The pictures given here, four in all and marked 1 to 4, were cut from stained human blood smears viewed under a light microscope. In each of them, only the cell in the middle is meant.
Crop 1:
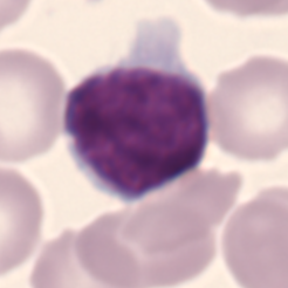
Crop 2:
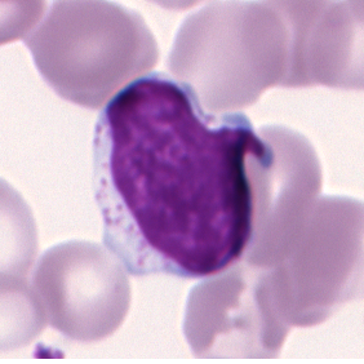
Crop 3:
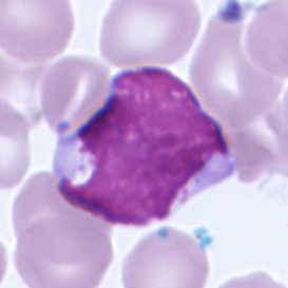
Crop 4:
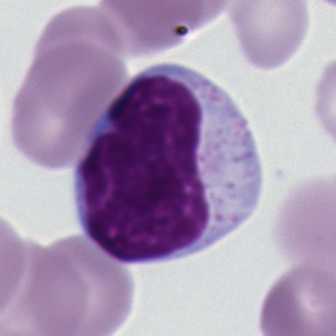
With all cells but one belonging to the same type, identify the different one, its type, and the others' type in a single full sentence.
Found in all crops but one are large granular lymphocytes; the exception, crop 1, contains a typical lymphocyte.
